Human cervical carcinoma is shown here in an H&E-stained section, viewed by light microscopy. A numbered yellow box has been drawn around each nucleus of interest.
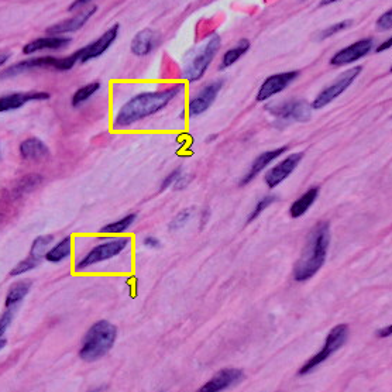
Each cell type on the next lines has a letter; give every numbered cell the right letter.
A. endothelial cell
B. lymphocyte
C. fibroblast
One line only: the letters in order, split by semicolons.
C; A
